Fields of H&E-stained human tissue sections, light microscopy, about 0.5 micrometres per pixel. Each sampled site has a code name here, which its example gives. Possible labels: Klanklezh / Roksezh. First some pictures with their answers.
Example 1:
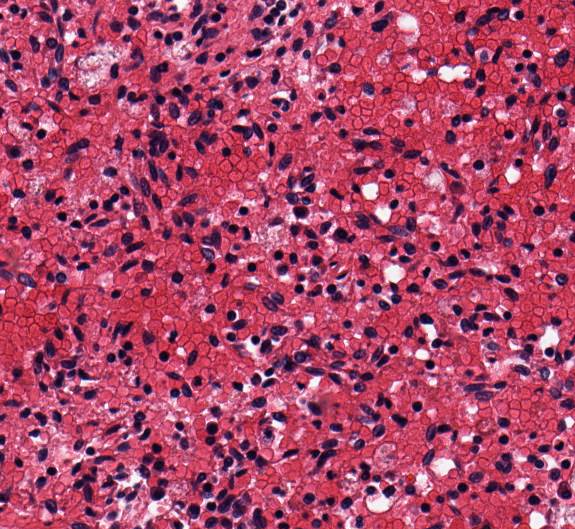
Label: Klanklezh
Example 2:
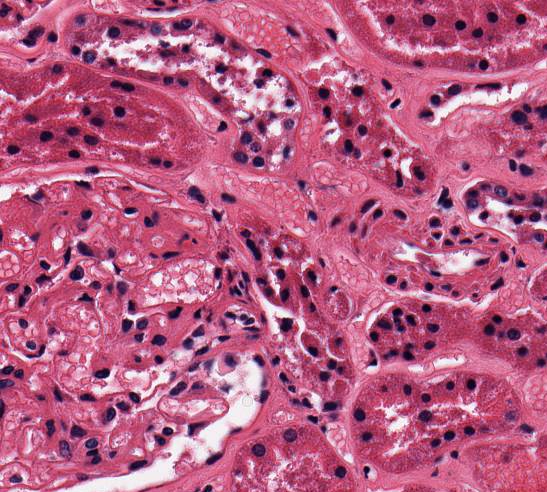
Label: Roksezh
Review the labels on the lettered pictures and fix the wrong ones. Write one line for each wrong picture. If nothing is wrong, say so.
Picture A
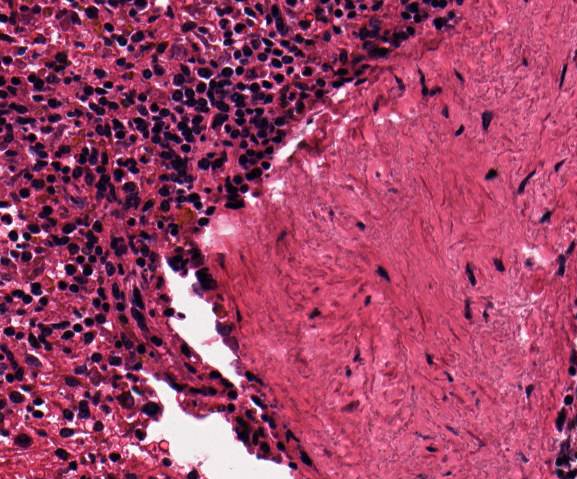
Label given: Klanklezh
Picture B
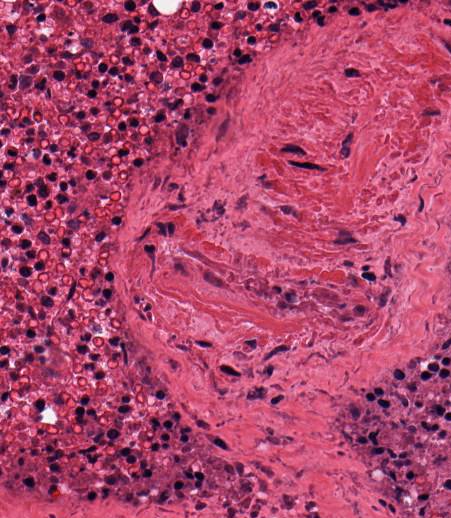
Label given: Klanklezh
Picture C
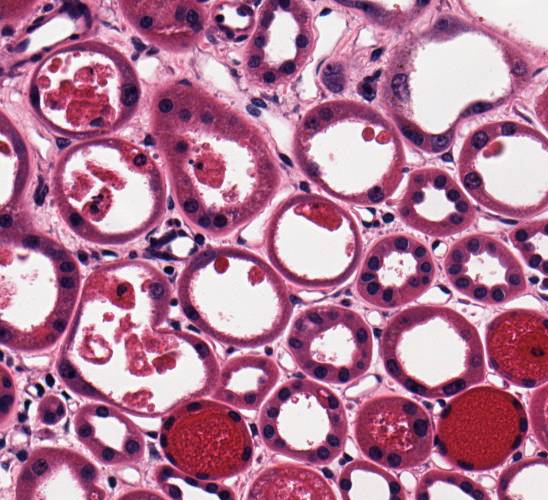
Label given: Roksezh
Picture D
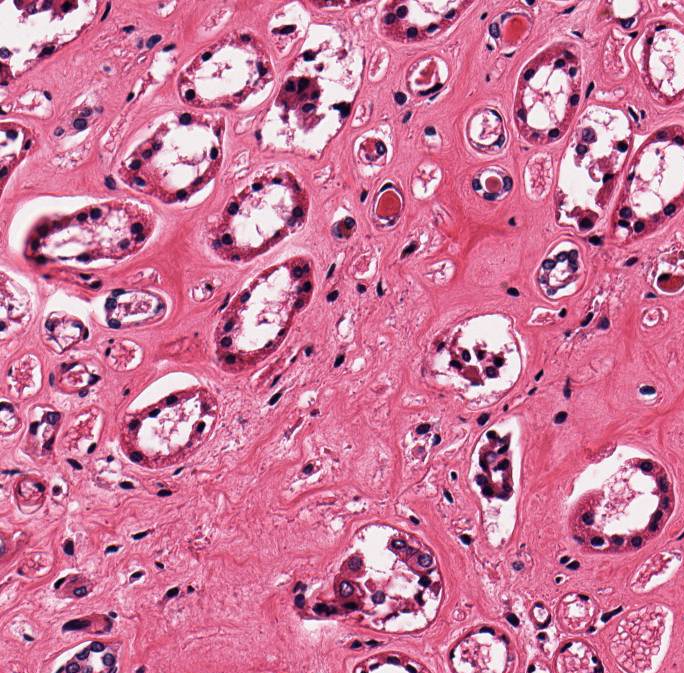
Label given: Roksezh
All labels are correct.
